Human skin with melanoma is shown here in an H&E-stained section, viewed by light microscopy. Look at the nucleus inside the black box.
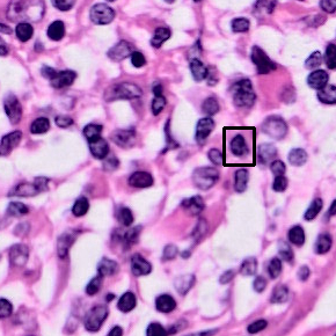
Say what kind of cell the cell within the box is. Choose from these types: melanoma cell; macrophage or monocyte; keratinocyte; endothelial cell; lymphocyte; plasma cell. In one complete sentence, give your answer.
It is a lymphocyte that the cell within the box represents.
